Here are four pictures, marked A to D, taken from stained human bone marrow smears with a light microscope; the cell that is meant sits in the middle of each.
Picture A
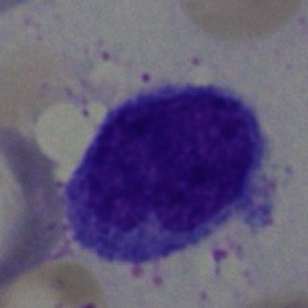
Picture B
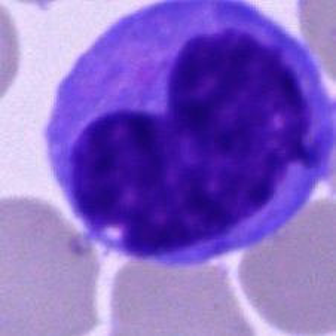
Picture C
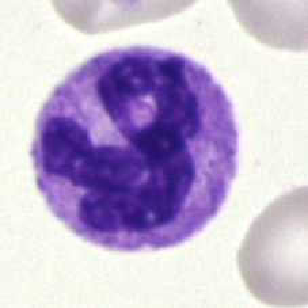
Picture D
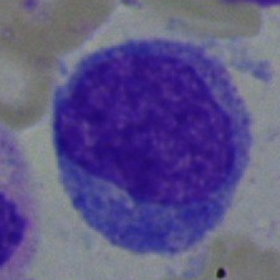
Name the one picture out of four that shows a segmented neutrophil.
C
